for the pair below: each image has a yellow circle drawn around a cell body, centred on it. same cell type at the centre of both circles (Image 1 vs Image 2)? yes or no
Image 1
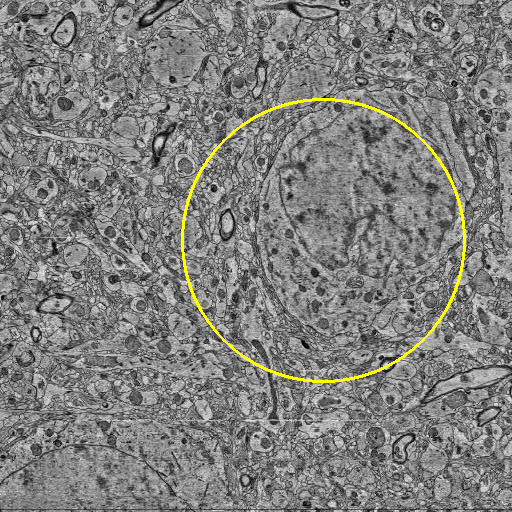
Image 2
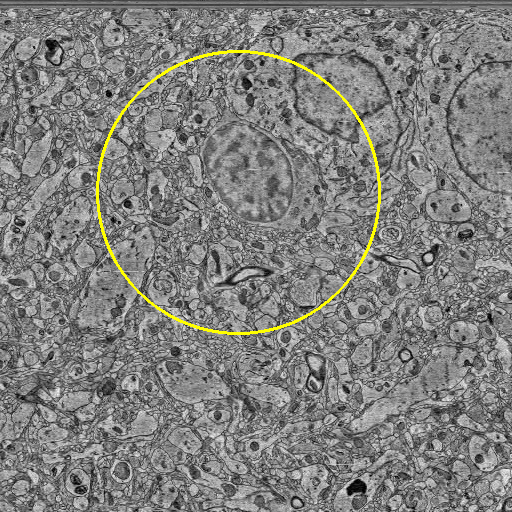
no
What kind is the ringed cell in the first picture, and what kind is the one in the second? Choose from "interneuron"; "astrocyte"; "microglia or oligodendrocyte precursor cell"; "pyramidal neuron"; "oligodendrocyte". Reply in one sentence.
The first cell is an interneuron; the second is an oligodendrocyte.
